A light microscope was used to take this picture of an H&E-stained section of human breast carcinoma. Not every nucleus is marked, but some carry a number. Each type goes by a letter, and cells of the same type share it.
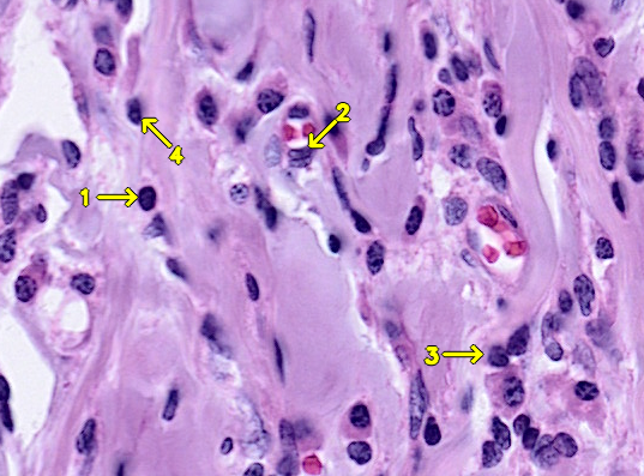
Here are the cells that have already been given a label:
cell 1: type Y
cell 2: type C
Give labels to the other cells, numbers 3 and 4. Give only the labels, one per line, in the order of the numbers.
type Y
type Y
